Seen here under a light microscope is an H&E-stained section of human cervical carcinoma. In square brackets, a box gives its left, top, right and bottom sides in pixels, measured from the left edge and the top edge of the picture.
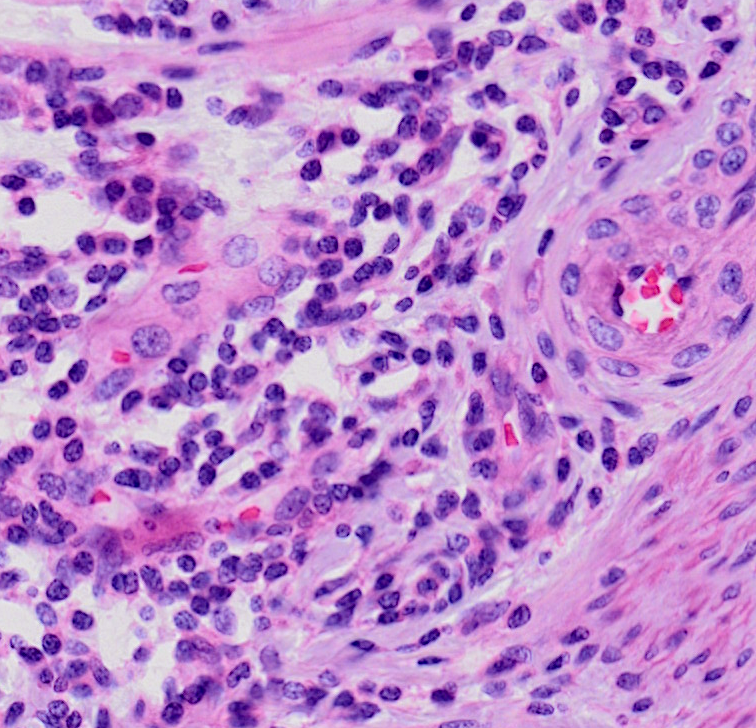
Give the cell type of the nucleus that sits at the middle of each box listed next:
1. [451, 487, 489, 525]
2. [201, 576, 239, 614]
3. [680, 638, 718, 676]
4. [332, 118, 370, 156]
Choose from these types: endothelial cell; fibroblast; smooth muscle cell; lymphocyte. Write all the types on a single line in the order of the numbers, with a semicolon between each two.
lymphocyte; lymphocyte; smooth muscle cell; lymphocyte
